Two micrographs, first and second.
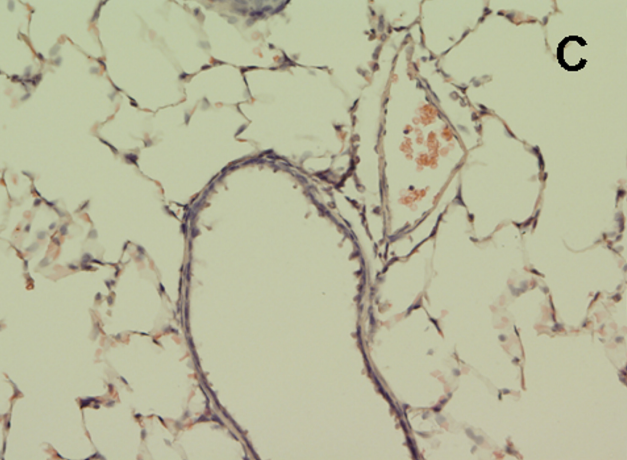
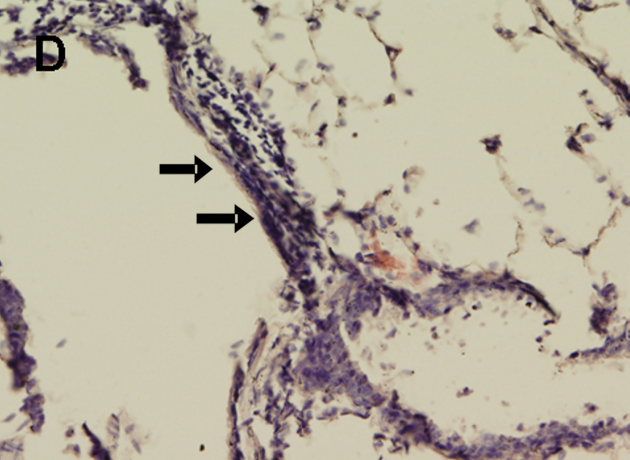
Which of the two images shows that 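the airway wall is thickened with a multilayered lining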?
The second image.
